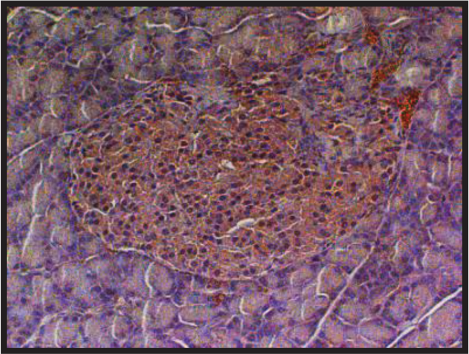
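This is pancreas with a round islet of Langerhans in the centre, surrounded by exocrine acinar tissue. The islet is a compact cluster of small, closely packed endocrine cells with small nuclei, and it is stained brown throughout. Around it the acini form lobular units of larger cells separated by thin pale septa, staining a more purplish tone than the islet.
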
